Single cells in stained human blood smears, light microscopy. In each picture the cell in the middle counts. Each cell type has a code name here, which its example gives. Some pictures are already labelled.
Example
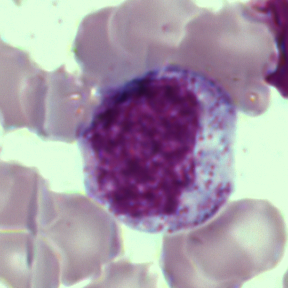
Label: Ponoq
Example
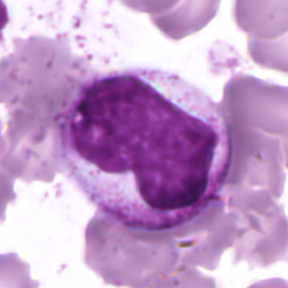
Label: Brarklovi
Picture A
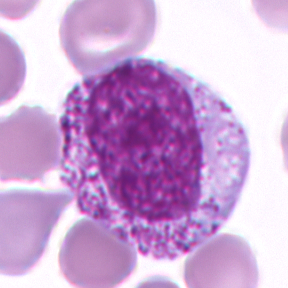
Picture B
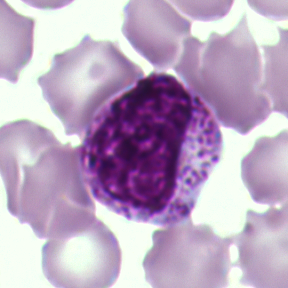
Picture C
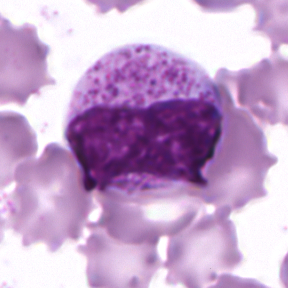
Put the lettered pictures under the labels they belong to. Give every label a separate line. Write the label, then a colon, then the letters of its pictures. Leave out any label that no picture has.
Ponoq: A
Brarklovi: B, C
